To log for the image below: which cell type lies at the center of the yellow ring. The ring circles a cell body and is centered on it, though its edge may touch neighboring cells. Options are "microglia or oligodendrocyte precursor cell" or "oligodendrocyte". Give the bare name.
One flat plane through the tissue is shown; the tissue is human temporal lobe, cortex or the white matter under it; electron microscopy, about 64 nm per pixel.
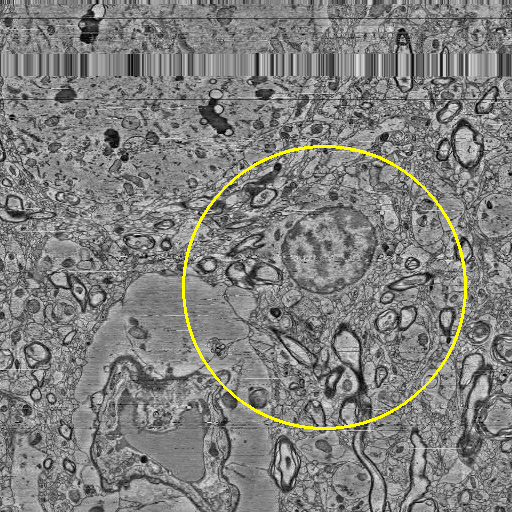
oligodendrocyte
